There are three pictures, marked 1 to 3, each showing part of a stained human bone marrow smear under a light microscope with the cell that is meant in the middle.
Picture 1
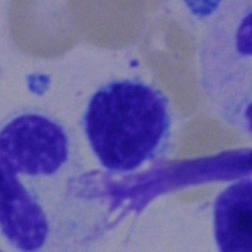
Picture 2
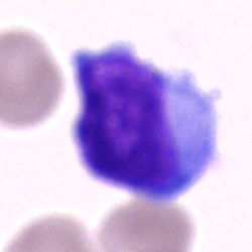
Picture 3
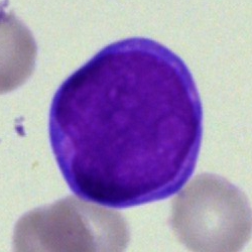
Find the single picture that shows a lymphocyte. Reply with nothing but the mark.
1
